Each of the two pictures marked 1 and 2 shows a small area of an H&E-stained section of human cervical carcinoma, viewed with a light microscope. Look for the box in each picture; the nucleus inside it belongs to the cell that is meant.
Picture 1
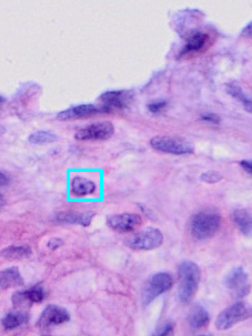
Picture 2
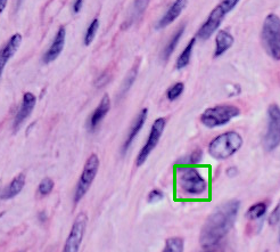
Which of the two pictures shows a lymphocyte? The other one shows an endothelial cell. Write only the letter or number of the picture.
1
